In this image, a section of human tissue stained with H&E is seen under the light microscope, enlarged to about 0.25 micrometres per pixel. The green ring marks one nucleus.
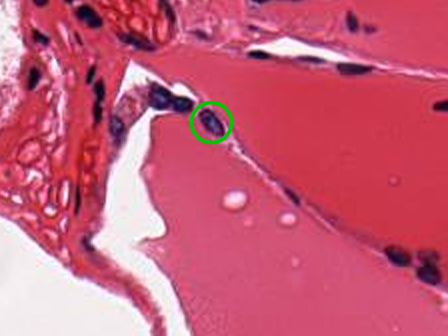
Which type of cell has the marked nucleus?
thyroid follicular cell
